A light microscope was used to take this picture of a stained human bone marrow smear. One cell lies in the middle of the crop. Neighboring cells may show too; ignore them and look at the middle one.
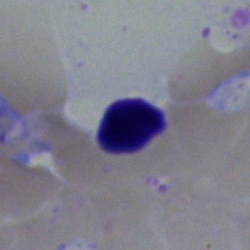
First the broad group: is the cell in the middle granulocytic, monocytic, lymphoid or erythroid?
erythroid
